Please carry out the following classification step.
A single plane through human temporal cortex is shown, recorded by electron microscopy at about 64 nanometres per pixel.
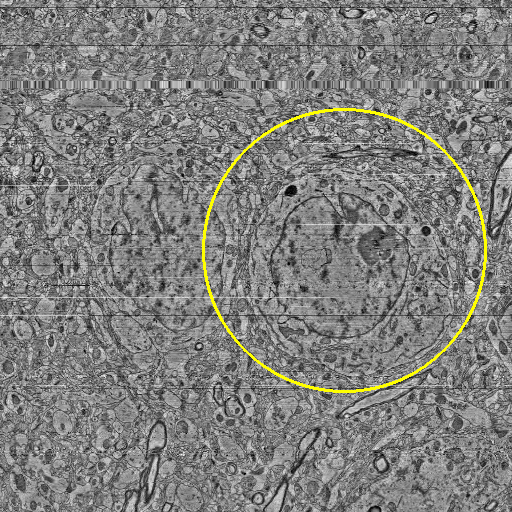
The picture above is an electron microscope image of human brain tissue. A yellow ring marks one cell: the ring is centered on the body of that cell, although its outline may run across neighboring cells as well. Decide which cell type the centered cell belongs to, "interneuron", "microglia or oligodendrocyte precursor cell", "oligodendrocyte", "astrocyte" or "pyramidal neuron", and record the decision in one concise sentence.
The cell centered in the yellow ring is a pyramidal neuron.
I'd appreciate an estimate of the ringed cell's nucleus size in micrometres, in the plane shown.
About 9 micrometers across, in this plane.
